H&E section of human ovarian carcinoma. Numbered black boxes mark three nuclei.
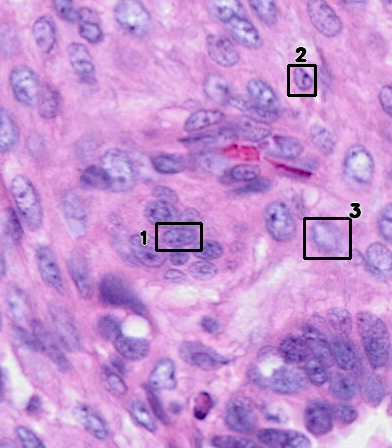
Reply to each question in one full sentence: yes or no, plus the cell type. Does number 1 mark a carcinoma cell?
Yes, the cell whose nucleus carries number 1 is a carcinoma cell.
